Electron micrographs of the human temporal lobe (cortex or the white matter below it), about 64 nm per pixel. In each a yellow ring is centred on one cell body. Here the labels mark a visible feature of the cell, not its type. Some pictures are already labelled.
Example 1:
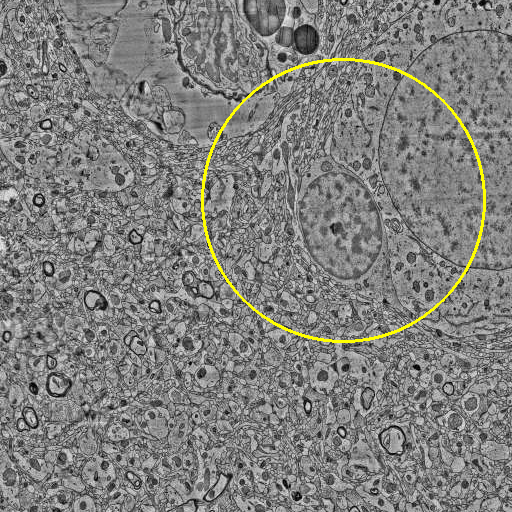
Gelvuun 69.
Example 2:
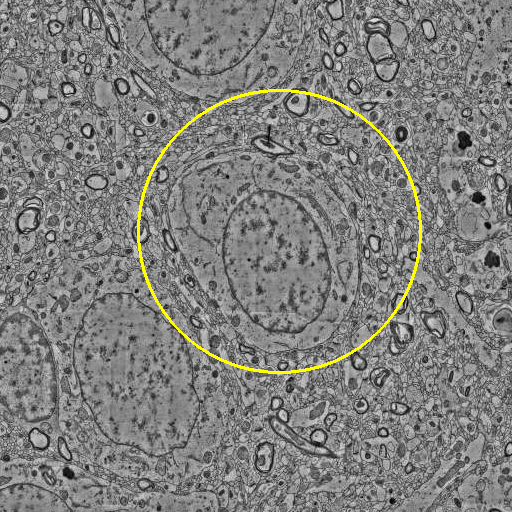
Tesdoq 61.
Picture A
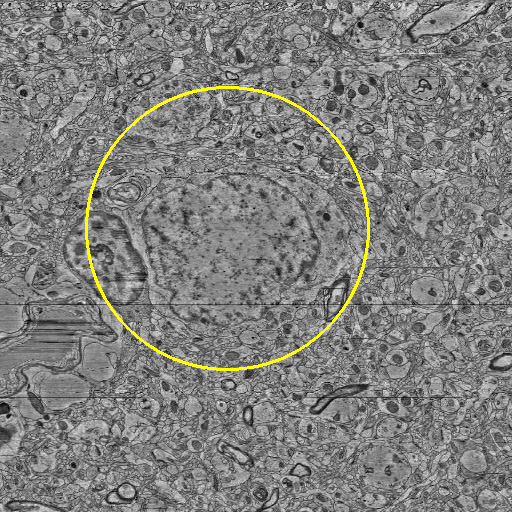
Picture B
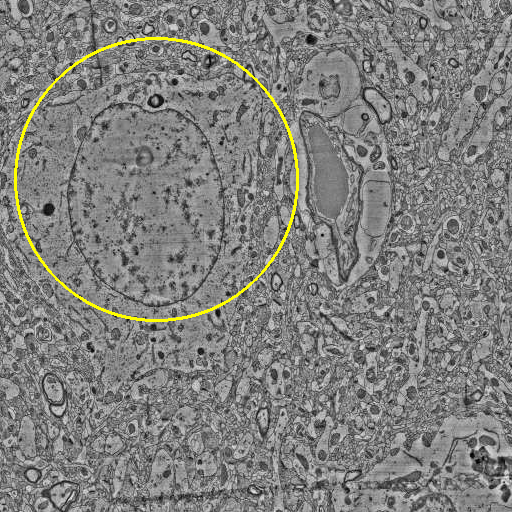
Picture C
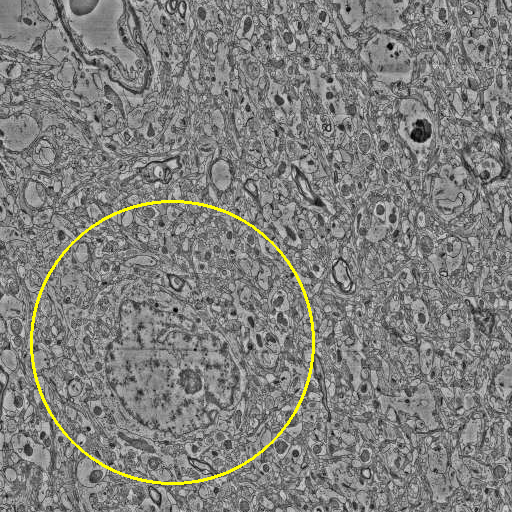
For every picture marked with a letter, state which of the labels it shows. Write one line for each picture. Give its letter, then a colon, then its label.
A: Tesdoq 61.
B: Gelvuun 69.
C: Gelvuun 69.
